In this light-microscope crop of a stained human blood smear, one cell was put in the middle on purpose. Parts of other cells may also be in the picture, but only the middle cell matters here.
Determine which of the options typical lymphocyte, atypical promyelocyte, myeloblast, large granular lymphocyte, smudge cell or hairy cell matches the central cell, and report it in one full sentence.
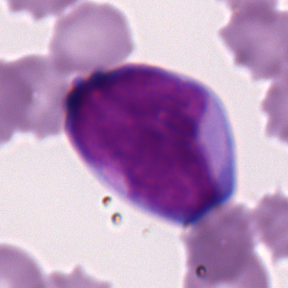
The single cell at the center of the crop is a myeloblast.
